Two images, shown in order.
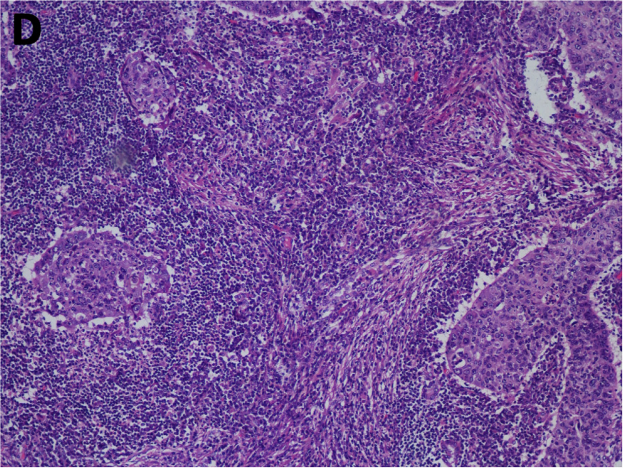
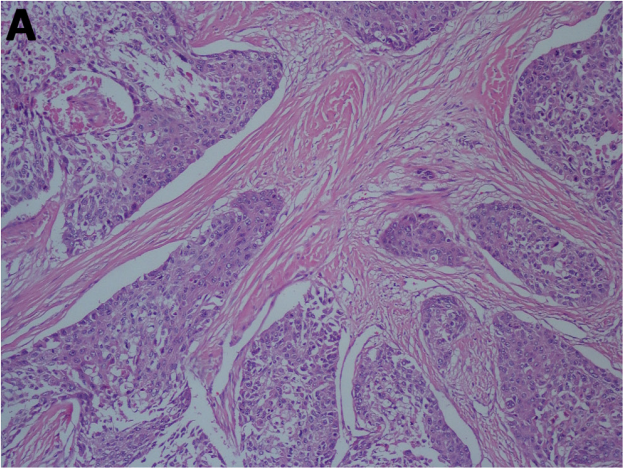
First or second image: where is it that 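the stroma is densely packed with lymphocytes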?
The first image.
